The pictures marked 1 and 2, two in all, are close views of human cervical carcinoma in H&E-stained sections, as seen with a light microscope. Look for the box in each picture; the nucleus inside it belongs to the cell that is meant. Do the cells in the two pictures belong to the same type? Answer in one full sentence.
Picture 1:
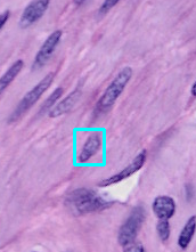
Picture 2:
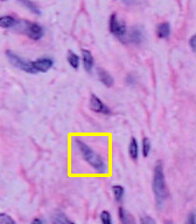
Yes, they are the same type: both are smooth muscle cells.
